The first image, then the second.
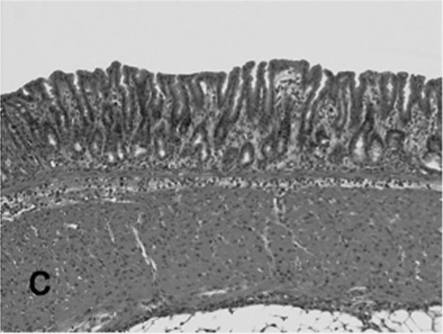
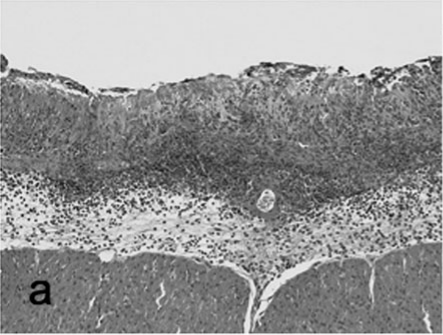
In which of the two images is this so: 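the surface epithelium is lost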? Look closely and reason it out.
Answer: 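First image: an intact row of glands and pits lined by epithelium reaches the surface. Second image: the mucosa is a structureless band with no surface epithelium or glands.
Conclusion: the second image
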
